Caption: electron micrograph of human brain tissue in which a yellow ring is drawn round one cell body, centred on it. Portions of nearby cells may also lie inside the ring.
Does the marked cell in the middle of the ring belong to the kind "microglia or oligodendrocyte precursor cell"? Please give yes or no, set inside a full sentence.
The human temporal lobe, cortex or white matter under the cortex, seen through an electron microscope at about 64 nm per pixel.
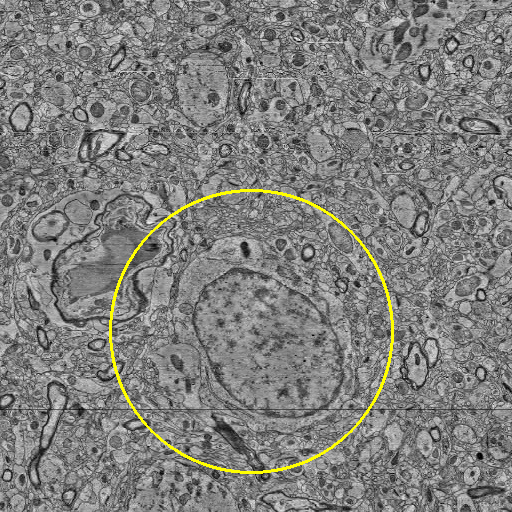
No, the marked cell that the ring is centred on in the picture is of another kind.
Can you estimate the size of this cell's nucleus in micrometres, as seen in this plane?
The nucleus is approximately 11 micrometers long by 8 micrometers wide in this plane.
